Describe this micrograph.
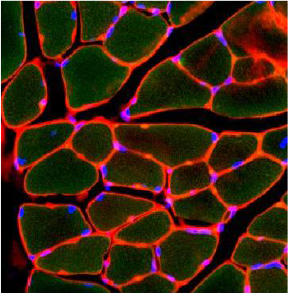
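This is skeletal muscle cut across, so each myofiber appears as a polygonal profile. Every fiber is wrapped in a thin red outline, the sheath that lies around each muscle cell, so the fibers look like a honeycomb of red-edged tiles. Their interiors are a dull olive-green and fairly even. Small blue nuclei sit mostly at the rims of the fibers, pressed against the red border, as is usual for mature muscle cells. Between groups of fibers there are dark spaces and broader red bands of connective tissue, marking the borders between bundles.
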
